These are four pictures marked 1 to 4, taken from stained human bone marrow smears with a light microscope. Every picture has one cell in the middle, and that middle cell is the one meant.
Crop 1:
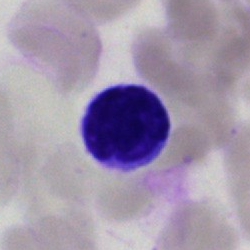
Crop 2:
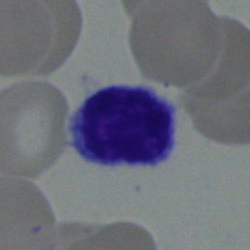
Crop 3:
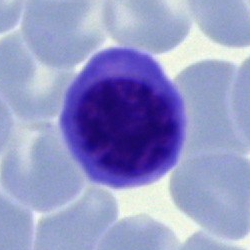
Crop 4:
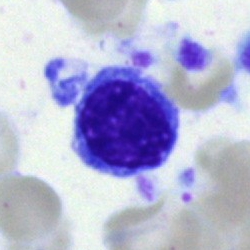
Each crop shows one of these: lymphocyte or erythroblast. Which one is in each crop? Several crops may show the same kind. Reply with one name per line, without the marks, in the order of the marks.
lymphocyte
lymphocyte
erythroblast
lymphocyte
